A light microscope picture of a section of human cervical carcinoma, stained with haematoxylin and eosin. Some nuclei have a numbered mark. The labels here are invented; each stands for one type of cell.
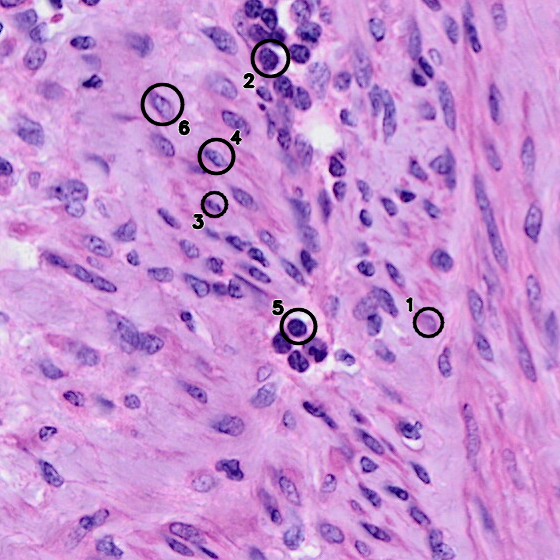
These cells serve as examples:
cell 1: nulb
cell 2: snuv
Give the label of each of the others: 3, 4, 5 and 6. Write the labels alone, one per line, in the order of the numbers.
nulb
nulb
snuv
nulb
